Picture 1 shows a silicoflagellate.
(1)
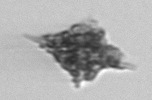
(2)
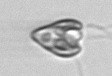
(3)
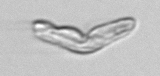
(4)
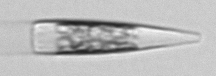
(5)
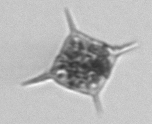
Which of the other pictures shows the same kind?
Picture 5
